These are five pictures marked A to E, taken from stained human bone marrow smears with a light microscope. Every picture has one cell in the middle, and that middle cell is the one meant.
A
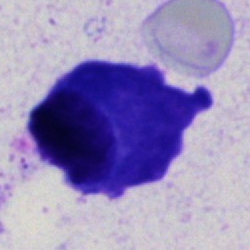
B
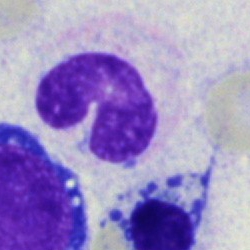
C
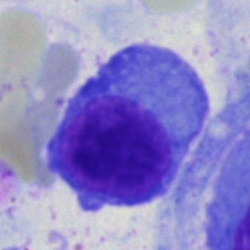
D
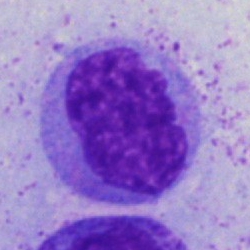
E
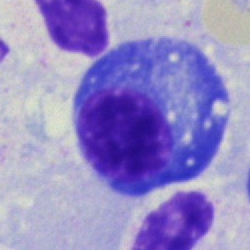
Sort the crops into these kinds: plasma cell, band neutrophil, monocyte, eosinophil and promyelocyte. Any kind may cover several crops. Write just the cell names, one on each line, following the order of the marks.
plasma cell
band neutrophil
plasma cell
monocyte
plasma cell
